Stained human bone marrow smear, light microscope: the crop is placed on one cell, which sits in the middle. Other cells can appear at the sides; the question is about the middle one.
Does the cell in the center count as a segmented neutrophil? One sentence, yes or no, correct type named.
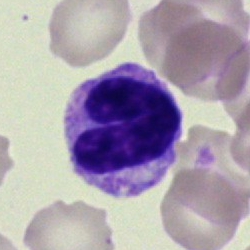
No, the middle cell is actually a band neutrophil rather than a segmented neutrophil.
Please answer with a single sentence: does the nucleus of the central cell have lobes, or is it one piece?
Nuclear material here is separated into two or more segments.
